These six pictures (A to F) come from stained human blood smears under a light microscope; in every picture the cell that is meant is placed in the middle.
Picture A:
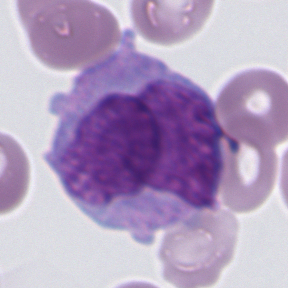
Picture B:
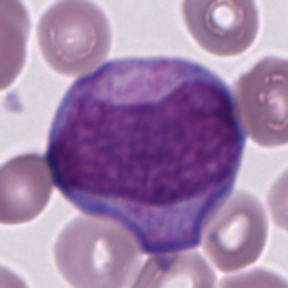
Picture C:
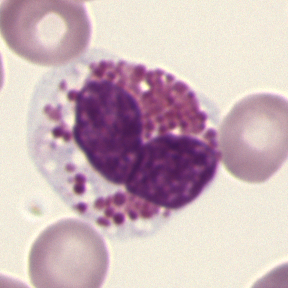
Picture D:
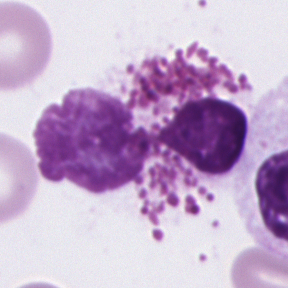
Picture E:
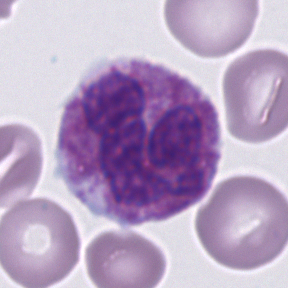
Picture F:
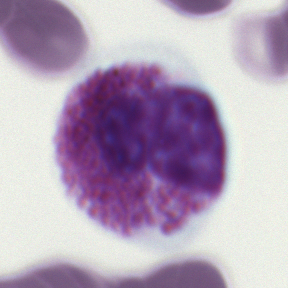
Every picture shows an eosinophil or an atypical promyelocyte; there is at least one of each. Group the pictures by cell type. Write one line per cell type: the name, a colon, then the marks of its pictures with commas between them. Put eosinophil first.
eosinophil: C, D, E, F
atypical promyelocyte: A, B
